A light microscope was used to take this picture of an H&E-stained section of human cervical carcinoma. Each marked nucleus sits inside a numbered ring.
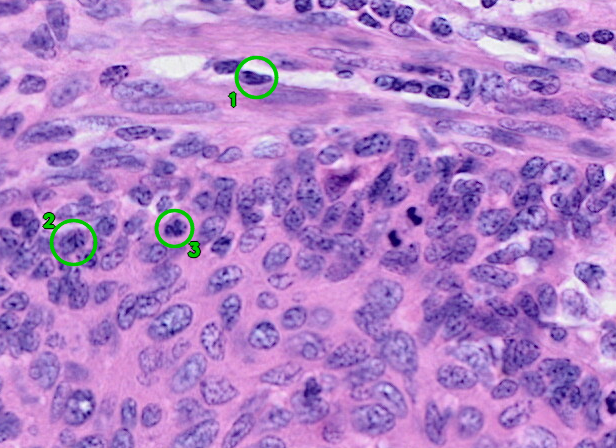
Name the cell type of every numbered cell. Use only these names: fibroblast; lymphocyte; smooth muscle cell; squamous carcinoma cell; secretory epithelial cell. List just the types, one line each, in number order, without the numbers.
lymphocyte
squamous carcinoma cell
squamous carcinoma cell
